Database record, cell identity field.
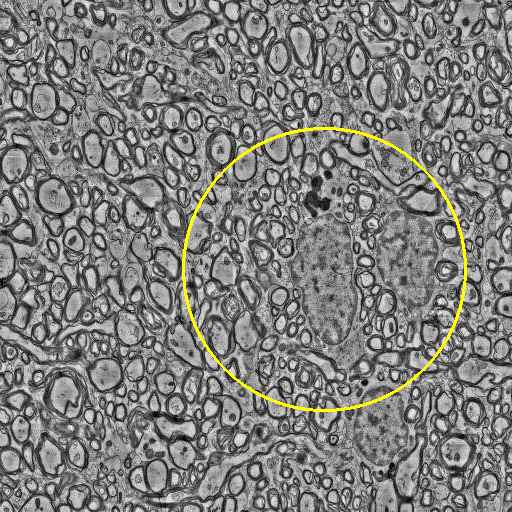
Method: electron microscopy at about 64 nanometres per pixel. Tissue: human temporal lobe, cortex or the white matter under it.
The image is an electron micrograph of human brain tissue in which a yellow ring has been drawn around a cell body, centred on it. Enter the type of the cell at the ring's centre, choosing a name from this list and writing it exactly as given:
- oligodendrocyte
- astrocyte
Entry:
oligodendrocyte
